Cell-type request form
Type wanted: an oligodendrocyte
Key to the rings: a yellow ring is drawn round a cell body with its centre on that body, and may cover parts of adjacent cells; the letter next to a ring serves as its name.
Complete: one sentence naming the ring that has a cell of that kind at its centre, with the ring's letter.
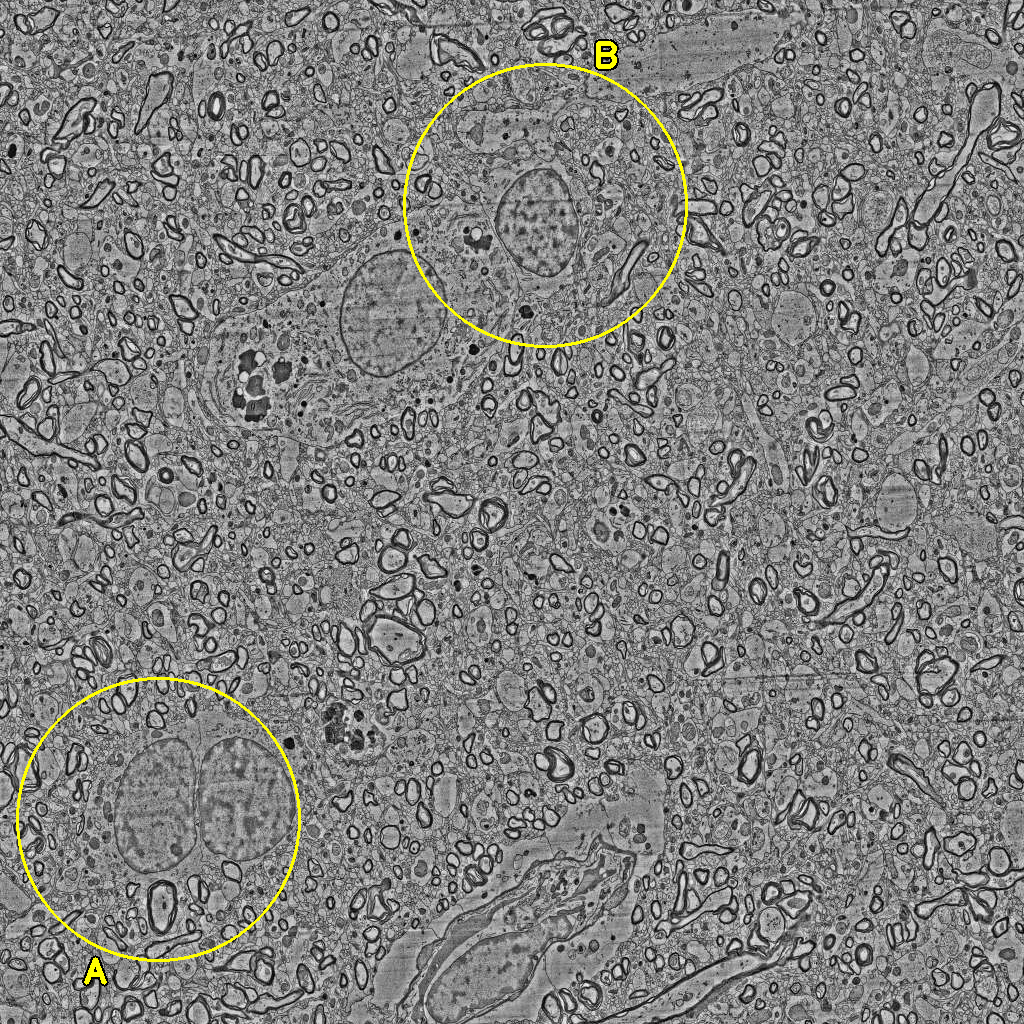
A cell of that kind sits at the centre of the ring labelled A.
